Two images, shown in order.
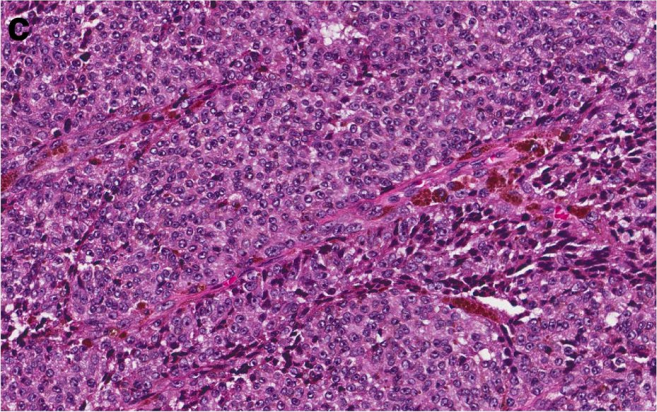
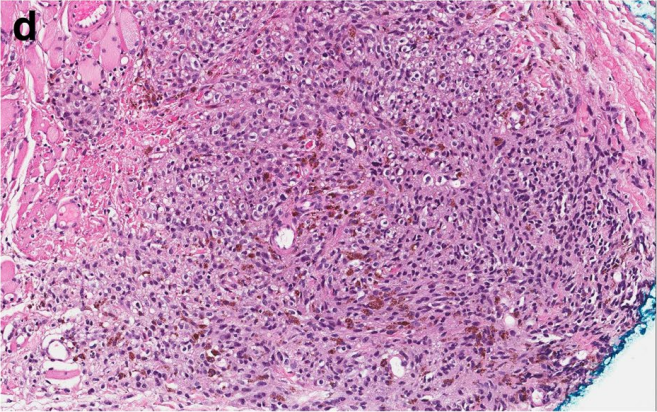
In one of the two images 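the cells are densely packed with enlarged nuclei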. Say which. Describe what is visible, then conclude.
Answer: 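Second image: oval to spindle cells lie in loose aggregates with pink stroma between them. First image: round to oval cells with large nuclei are crowded in solid sheets. On this evidence: the first image.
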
